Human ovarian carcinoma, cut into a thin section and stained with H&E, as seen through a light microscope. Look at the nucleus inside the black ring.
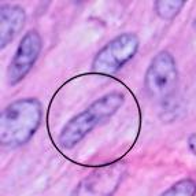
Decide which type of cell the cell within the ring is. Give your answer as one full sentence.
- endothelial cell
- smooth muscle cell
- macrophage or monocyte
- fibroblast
Histopathologically, the cell within the ring is a fibroblast.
